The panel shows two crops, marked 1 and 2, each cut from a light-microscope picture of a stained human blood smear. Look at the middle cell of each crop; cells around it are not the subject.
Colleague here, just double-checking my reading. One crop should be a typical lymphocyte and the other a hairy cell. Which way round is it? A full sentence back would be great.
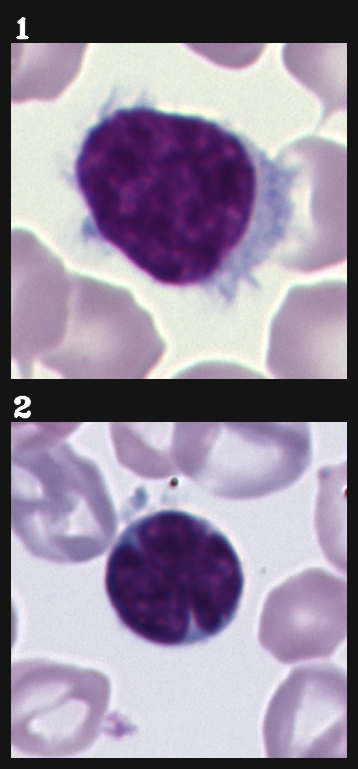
The central cell of crop 1 is a hairy cell, and that of crop 2 is a typical lymphocyte.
